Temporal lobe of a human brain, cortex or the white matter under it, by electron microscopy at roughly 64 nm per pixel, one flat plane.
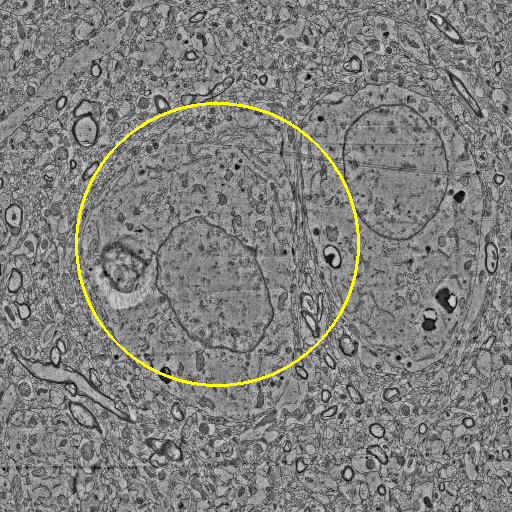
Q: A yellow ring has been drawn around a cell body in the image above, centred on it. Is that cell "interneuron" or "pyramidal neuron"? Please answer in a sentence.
The ring surrounds the cell body of a pyramidal neuron.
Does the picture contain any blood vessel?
No.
